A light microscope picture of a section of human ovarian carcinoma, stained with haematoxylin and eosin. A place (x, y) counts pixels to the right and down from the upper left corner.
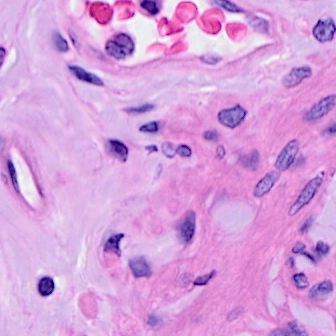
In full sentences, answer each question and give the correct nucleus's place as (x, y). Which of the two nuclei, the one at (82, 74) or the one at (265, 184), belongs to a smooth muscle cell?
So, of the two, the nucleus at (265, 184) is the one belonging to a smooth muscle cell.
